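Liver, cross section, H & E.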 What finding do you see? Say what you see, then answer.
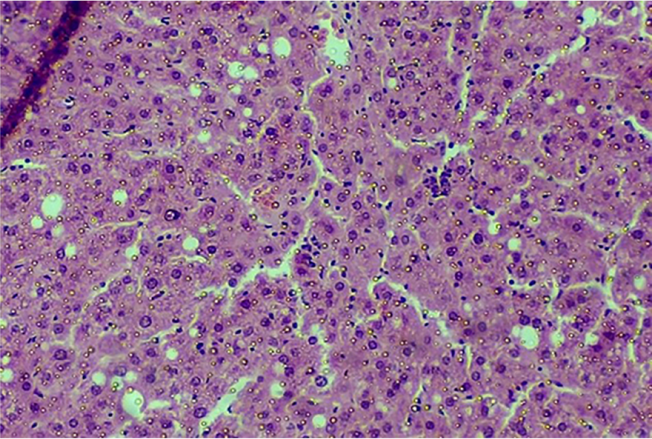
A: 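Inflammatory cells infilteration. A cluster of small, dark, round nuclei lies among the hepatocytes near the centre. These small nuclei are much darker and smaller than the hepatocyte nuclei around them.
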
